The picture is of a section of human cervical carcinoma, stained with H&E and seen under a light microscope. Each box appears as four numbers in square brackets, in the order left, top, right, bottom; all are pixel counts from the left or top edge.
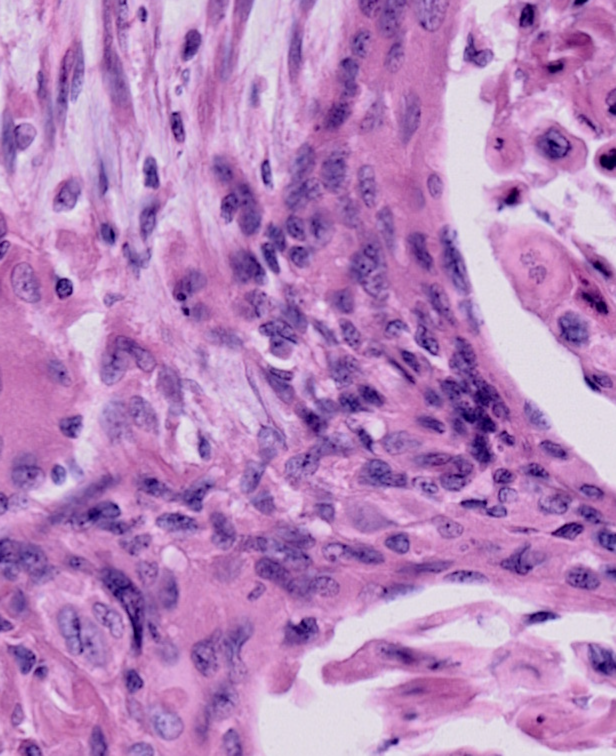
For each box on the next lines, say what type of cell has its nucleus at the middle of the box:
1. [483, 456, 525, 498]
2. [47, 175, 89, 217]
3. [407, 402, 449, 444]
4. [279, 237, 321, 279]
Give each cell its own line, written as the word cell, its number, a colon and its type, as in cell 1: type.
cell 1: squamous carcinoma cell
cell 2: macrophage or monocyte
cell 3: squamous carcinoma cell
cell 4: squamous carcinoma cell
